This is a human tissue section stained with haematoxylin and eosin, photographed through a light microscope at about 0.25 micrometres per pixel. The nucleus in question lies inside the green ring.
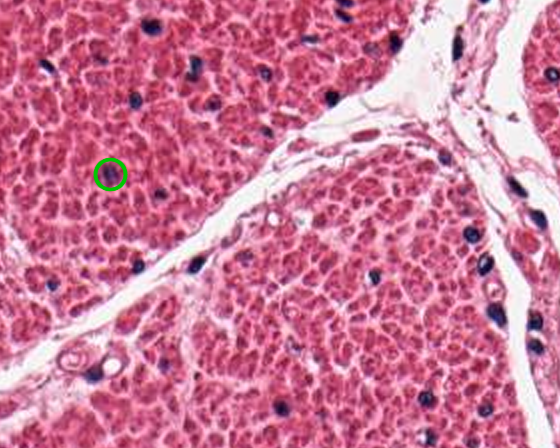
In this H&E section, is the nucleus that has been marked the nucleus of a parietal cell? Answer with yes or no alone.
no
